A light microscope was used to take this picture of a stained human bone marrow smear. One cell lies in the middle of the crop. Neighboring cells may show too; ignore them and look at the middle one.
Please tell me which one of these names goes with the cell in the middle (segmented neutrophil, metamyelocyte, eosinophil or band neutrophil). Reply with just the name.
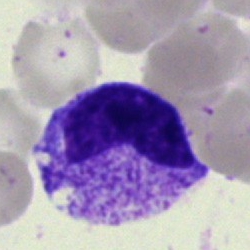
band neutrophil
